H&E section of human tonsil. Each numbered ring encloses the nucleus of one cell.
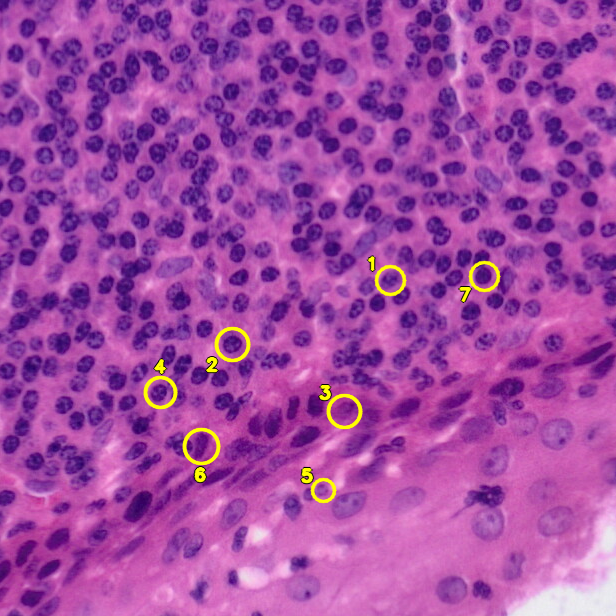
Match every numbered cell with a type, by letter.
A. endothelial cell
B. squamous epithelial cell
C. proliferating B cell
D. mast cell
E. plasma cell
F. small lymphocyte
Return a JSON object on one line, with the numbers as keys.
{"1": "E", "2": "E", "3": "B", "4": "E", "5": "B", "6": "B", "7": "E"}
